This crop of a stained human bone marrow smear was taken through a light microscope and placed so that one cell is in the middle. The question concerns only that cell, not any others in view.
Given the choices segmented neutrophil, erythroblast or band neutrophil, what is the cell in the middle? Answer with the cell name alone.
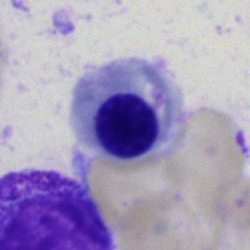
erythroblast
